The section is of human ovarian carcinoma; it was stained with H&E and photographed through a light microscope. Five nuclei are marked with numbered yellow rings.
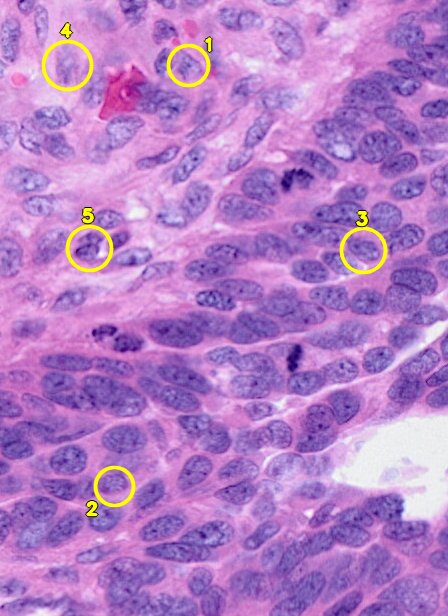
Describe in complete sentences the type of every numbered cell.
Cell 1 is an endothelial cell, cell 2 is a carcinoma cell, cell 3 is a carcinoma cell, cell 4 is a fibroblast and cell 5 is a macrophage or monocyte.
